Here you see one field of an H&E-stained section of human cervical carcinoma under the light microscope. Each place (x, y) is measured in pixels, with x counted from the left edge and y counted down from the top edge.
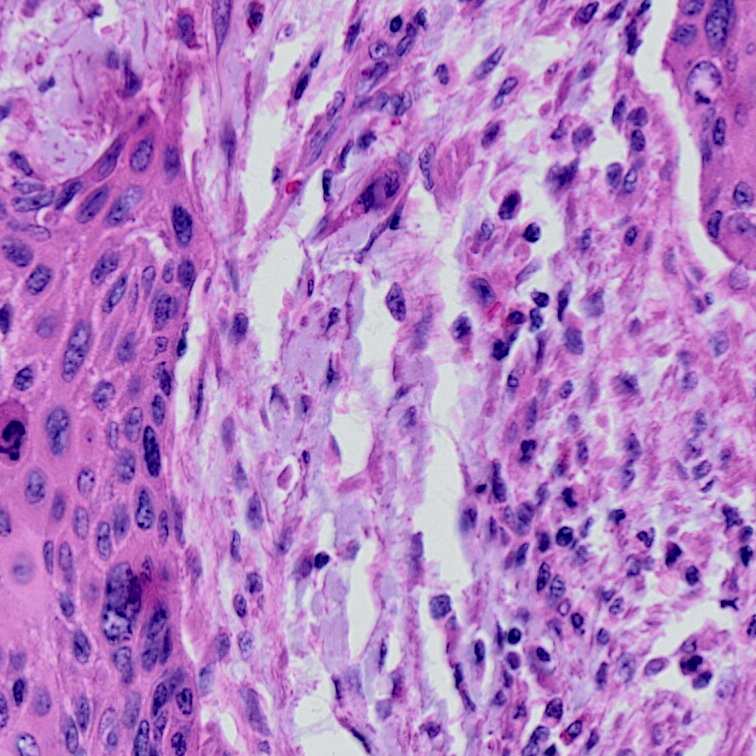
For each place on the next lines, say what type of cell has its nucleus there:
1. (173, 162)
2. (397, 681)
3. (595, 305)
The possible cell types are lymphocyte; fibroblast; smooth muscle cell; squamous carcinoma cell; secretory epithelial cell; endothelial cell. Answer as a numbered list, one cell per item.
1. squamous carcinoma cell
2. fibroblast
3. fibroblast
